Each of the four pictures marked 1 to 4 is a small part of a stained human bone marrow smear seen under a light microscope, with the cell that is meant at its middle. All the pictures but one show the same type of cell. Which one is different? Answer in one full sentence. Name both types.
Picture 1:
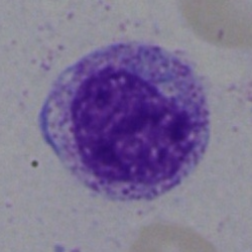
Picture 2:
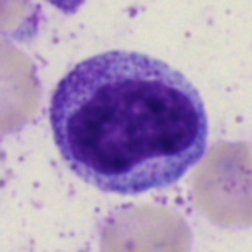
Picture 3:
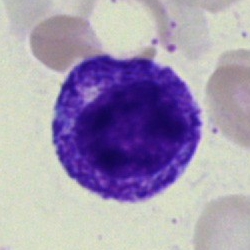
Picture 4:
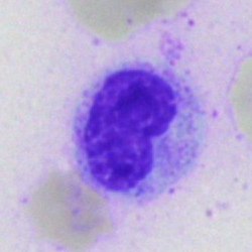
Unlike the rest, which show myelocytes, picture 4 shows a metamyelocyte.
